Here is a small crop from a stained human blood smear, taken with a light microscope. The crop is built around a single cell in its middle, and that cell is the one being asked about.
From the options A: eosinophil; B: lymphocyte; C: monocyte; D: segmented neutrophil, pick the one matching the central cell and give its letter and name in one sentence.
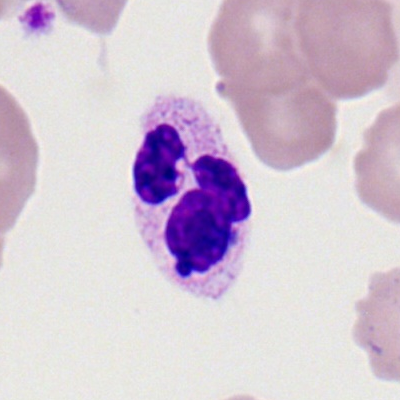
Identified correctly by option D, the cell in the middle is a segmented neutrophil.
